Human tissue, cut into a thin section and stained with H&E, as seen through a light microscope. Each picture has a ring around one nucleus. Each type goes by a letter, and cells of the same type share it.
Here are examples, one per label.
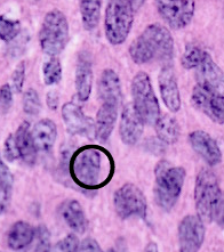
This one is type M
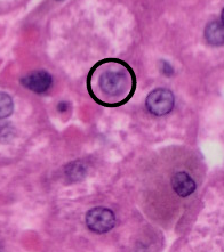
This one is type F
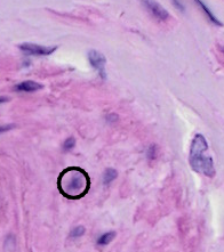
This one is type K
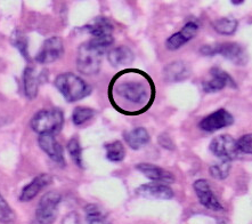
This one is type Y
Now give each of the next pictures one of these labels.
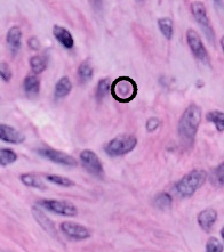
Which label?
type K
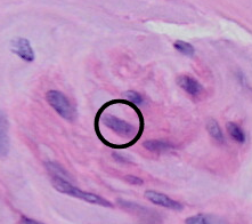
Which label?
type K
